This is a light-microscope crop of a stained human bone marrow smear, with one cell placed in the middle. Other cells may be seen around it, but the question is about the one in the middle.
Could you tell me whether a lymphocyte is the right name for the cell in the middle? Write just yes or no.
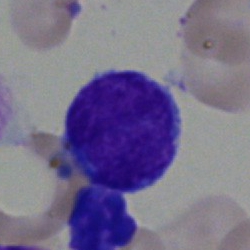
yes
